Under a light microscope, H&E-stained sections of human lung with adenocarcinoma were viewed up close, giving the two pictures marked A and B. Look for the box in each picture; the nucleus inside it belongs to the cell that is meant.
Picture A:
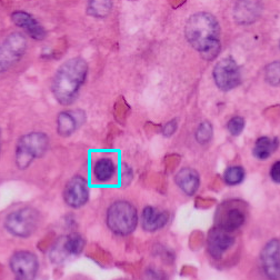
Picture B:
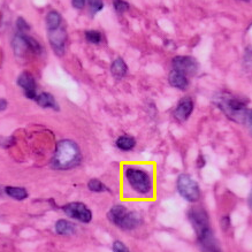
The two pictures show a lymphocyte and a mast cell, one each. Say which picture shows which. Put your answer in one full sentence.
Picture A shows a lymphocyte and picture B shows a mast cell.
